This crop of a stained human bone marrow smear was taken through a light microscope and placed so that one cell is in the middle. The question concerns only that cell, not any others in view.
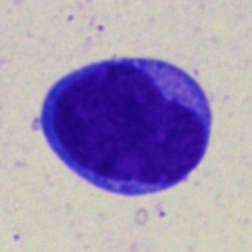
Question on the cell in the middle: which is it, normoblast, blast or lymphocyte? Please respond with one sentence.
The central cell shown in this smear crop is a blast.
